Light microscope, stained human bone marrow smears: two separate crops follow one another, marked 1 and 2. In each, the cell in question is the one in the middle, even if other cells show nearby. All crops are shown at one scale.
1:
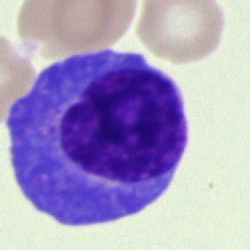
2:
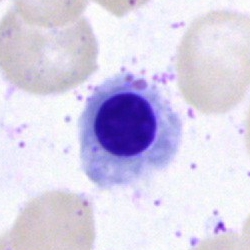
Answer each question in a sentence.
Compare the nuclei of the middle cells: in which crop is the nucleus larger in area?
Larger is the nucleus in picture 1, at roughly 4 times the area of the other.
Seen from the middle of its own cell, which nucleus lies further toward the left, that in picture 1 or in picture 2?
Seen within its cell, the nucleus in picture 2 lies further toward the left.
